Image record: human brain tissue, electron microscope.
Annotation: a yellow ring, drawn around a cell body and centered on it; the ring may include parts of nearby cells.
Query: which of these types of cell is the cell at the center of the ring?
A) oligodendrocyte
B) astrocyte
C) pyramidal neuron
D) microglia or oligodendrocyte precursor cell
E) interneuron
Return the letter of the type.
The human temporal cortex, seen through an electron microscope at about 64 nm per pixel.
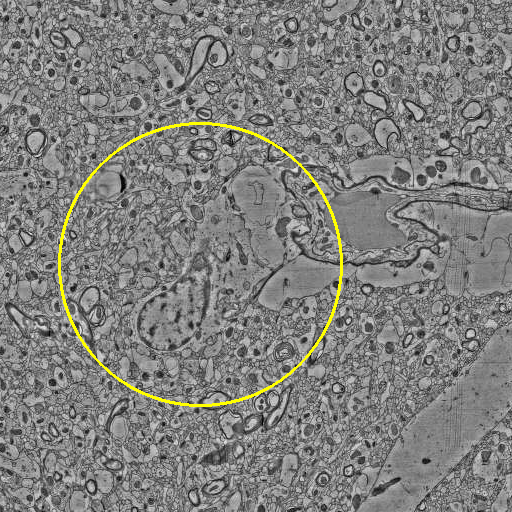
D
